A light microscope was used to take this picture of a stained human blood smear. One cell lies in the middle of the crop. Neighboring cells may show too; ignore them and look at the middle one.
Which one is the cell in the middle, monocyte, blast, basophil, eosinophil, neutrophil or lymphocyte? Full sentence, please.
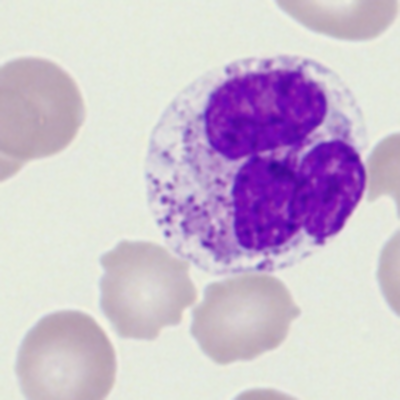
The cell of interest, located centrally, is a basophil.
